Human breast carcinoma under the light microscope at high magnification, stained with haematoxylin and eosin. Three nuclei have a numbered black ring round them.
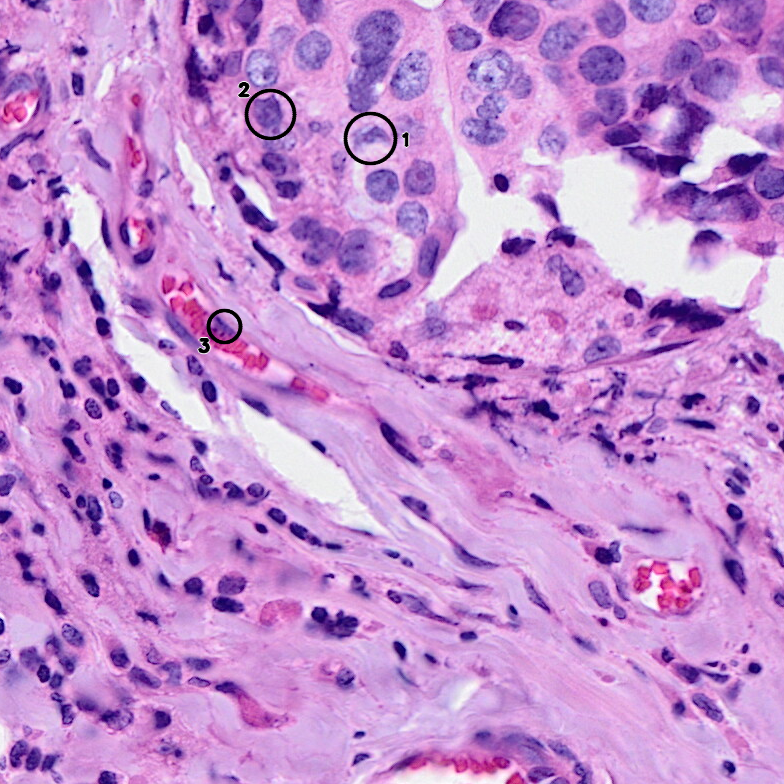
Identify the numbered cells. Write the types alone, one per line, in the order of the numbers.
carcinoma cell
carcinoma cell
endothelial cell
